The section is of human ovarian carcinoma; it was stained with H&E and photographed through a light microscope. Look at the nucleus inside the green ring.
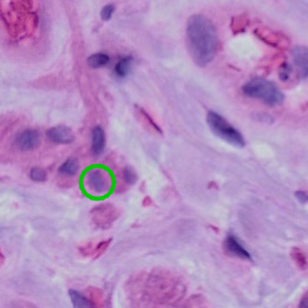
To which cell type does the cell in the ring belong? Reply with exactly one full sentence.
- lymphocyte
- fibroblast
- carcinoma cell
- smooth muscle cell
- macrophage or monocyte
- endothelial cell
In cell-type terms, the cell in the ring is a smooth muscle cell.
